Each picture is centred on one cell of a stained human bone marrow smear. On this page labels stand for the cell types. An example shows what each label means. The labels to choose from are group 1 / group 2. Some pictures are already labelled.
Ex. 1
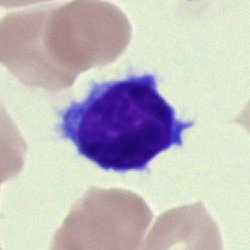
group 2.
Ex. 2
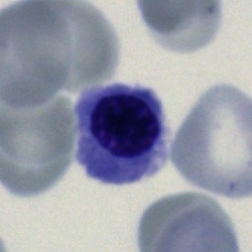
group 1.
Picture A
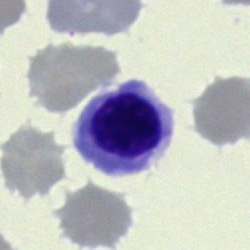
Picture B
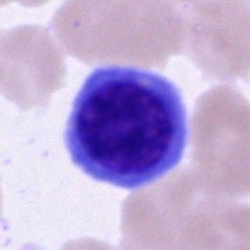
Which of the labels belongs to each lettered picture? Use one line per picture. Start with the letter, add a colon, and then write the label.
A: group 1.
B: group 1.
